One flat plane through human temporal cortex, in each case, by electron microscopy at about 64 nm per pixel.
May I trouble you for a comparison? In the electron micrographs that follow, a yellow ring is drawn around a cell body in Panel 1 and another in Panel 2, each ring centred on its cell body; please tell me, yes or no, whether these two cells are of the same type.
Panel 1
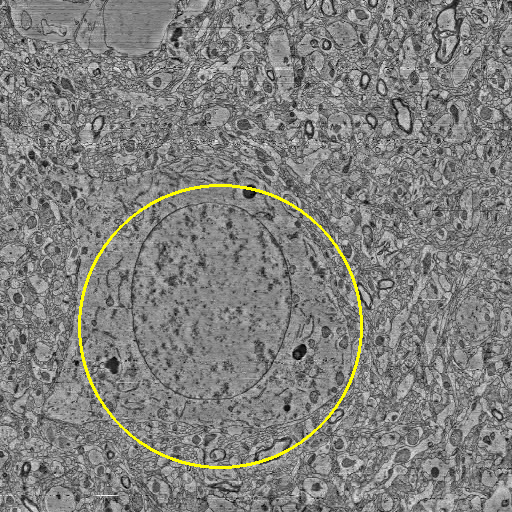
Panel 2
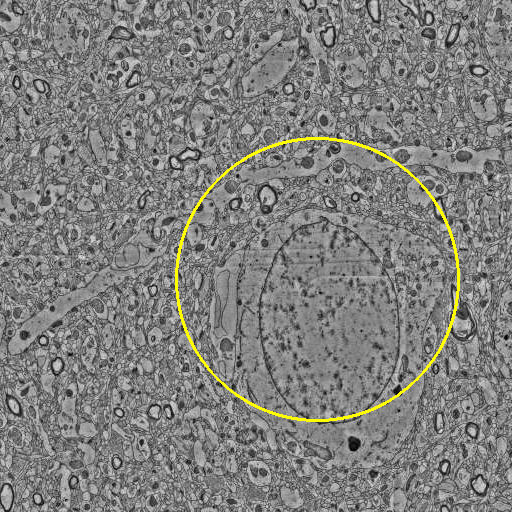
yes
